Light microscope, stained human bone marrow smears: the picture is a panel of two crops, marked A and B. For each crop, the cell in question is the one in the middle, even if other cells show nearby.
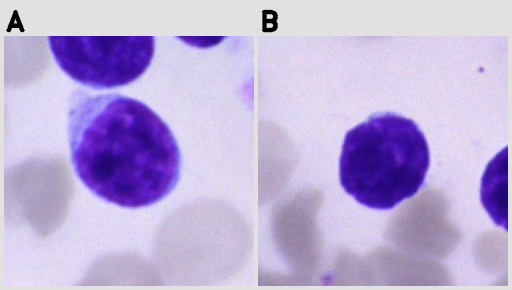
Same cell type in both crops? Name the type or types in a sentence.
Yes, the two cells in the two crops are lymphocytes.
